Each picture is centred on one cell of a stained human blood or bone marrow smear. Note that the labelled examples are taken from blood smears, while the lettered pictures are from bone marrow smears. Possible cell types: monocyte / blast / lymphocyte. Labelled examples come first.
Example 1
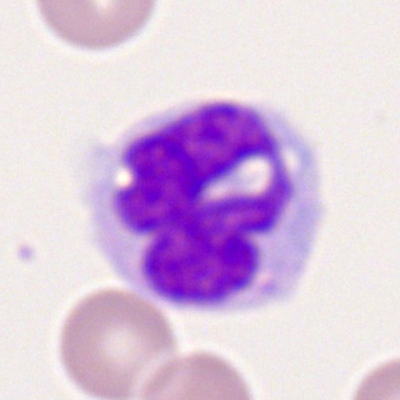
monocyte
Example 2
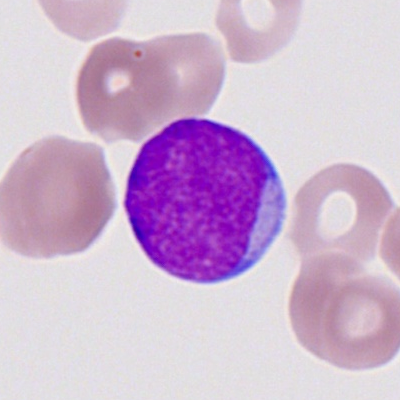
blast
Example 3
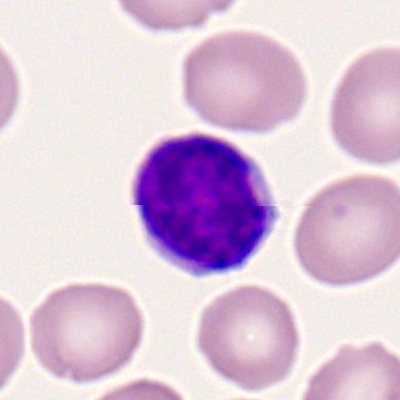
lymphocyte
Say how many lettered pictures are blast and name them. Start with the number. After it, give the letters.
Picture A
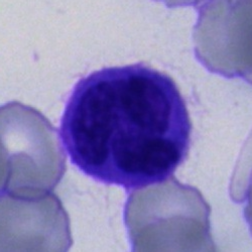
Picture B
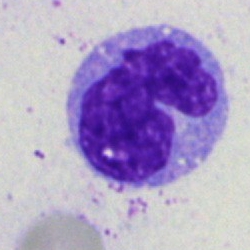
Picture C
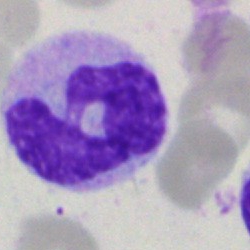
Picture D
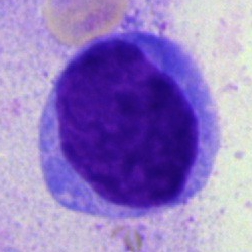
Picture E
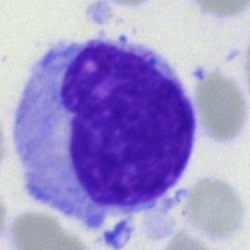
1, namely D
